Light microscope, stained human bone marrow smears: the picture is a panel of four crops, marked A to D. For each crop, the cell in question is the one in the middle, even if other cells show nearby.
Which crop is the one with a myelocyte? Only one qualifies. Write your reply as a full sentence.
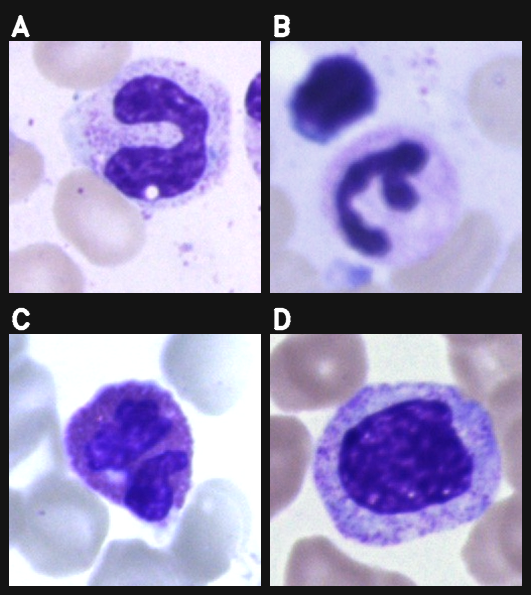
When the crops are compared, crop D is the one showing a myelocyte.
